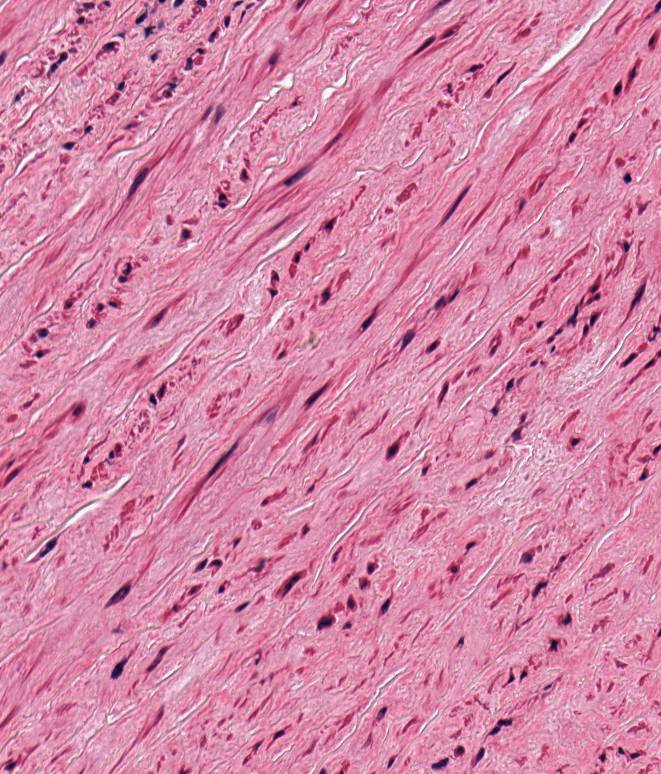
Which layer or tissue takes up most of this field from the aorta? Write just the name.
tunica media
